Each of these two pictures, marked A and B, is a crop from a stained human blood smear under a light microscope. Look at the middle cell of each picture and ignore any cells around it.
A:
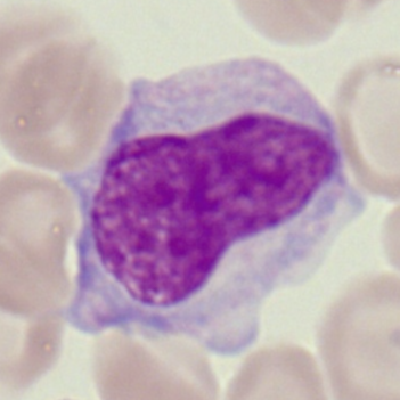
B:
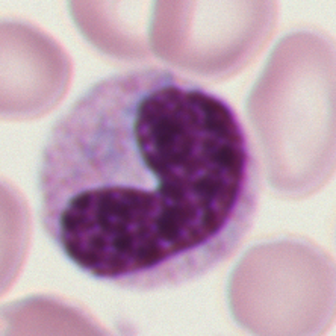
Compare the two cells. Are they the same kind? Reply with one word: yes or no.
no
